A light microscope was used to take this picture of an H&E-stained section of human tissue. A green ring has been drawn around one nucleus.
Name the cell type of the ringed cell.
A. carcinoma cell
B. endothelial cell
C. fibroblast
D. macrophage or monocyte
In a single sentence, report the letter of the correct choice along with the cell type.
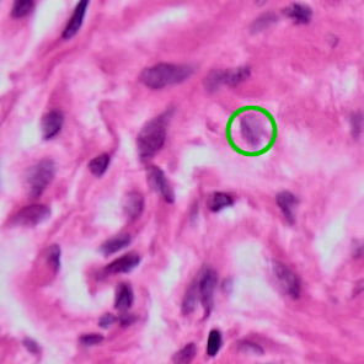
In the section, the ringed cell is a fibroblast, and option C is correct accordingly.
